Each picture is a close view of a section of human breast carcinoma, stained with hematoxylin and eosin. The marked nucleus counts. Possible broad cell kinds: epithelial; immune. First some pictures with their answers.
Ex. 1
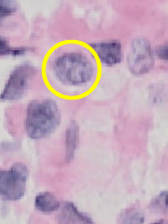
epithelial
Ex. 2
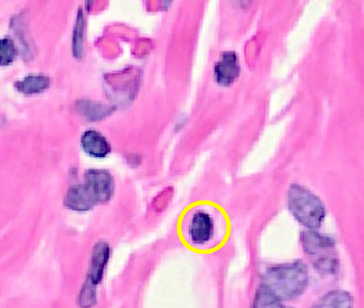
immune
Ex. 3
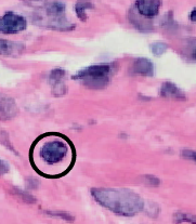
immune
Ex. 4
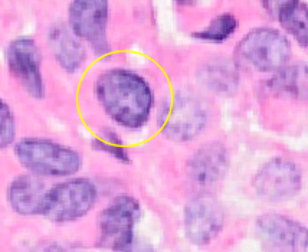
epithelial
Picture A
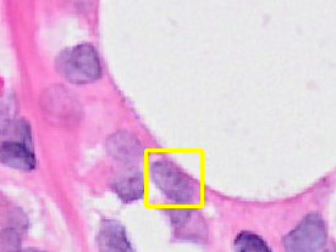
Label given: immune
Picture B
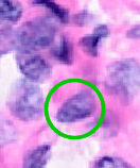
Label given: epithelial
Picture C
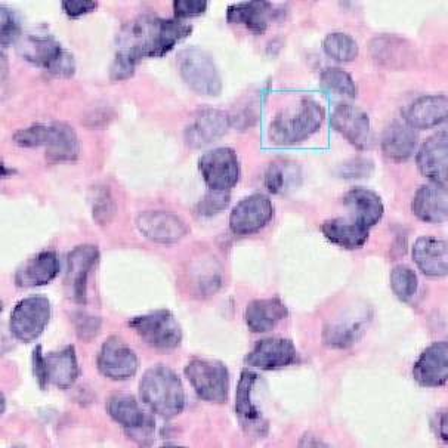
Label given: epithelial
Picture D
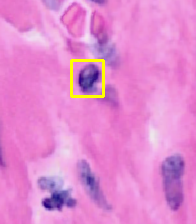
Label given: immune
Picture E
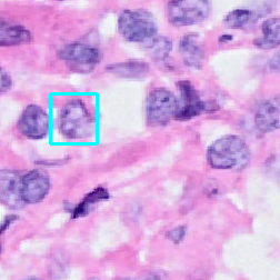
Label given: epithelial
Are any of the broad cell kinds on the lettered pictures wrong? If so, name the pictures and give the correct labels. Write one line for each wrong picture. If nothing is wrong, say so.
A: not immune but epithelial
